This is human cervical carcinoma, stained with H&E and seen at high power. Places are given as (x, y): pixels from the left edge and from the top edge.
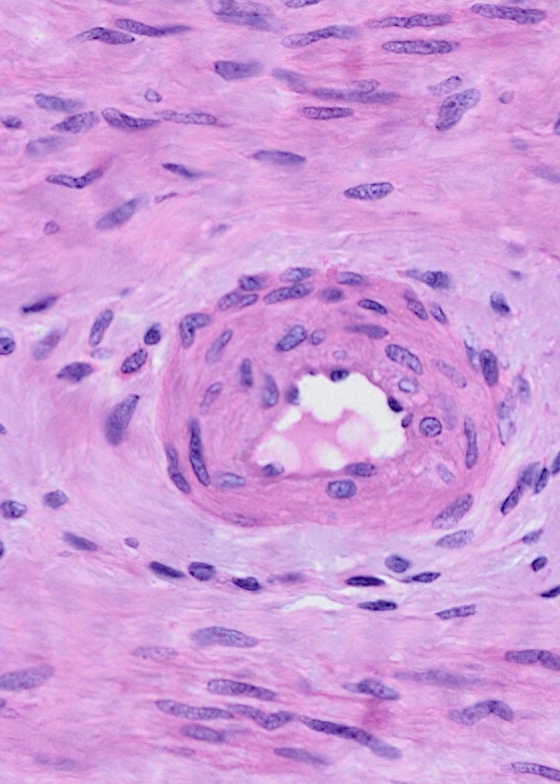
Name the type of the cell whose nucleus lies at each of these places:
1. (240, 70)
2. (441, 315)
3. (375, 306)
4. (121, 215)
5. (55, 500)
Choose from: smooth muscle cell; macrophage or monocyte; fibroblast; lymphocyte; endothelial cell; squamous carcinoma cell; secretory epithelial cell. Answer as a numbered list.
1. fibroblast
2. smooth muscle cell
3. smooth muscle cell
4. fibroblast
5. fibroblast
